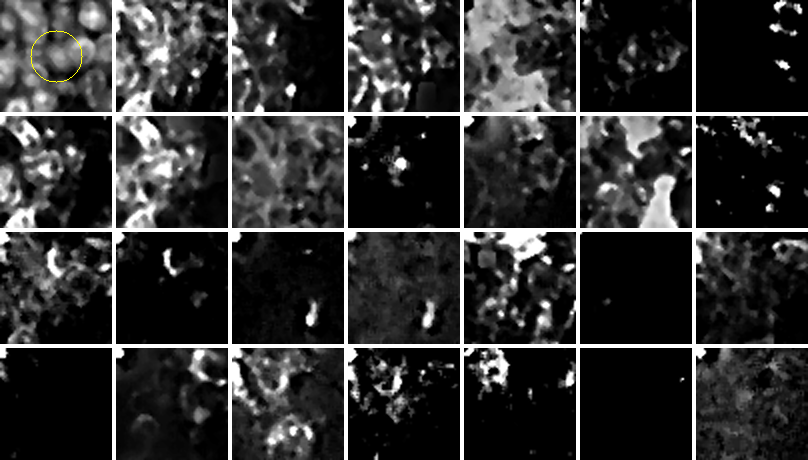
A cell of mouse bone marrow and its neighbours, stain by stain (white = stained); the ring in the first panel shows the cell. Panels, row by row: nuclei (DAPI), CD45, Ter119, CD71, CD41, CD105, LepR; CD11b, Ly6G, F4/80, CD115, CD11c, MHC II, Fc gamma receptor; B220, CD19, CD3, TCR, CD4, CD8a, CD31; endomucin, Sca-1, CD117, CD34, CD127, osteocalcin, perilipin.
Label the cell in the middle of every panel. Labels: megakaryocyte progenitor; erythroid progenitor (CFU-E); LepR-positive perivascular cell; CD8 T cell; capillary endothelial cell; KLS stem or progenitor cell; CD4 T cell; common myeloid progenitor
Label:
erythroid progenitor (CFU-E)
